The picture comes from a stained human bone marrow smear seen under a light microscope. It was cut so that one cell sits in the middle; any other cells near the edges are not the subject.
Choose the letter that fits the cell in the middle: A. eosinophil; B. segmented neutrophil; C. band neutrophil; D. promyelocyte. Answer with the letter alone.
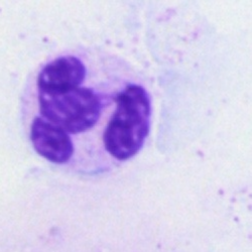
B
